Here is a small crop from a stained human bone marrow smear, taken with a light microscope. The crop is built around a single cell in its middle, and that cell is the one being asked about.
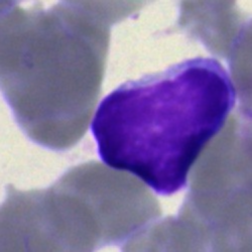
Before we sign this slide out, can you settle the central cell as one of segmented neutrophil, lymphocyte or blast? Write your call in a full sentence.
Here the centrally located cell is a lymphocyte.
